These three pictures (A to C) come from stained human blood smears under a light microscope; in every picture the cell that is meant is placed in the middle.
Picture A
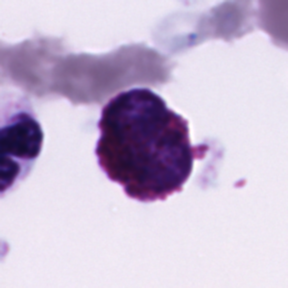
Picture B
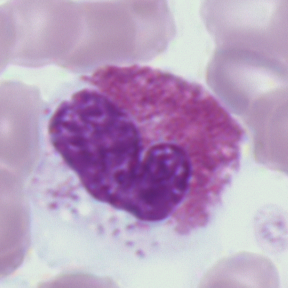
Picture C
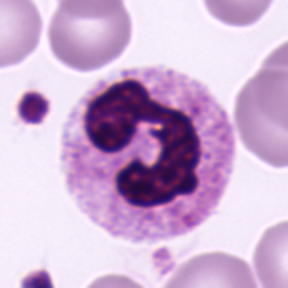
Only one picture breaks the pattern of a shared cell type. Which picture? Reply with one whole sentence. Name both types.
Unlike the rest, which show eosinophils, picture C shows a segmented neutrophil.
